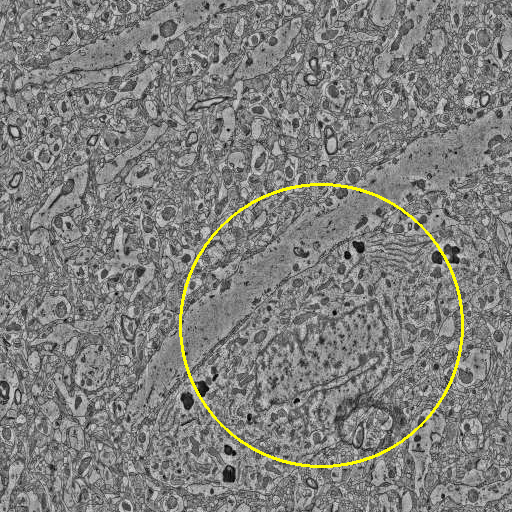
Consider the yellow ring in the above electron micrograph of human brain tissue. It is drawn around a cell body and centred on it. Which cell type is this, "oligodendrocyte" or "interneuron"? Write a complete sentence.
The cell in question is an interneuron.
